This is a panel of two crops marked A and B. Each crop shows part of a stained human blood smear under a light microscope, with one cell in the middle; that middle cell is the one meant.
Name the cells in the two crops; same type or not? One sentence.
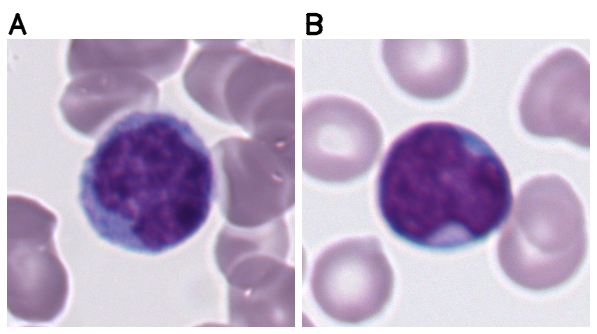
No, it is in crop A that a monocyte is shown, and in crop B that a blast is shown.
